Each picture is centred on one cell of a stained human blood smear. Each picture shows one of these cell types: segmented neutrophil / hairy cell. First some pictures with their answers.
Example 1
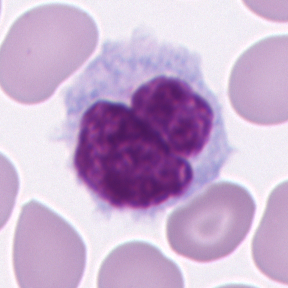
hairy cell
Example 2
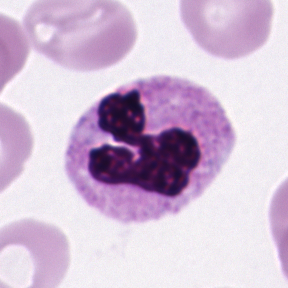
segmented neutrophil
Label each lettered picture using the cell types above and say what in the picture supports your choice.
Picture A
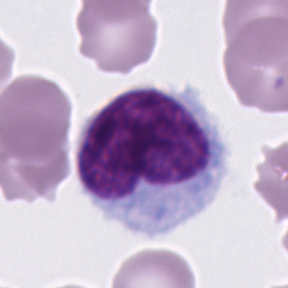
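Answer: hairy cell. The nucleus is indented like a kidney, with the notch on its lower side.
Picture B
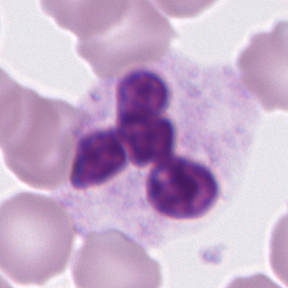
Answer: segmented neutrophil. The cytoplasm is abundant and pale pinkish-lilac.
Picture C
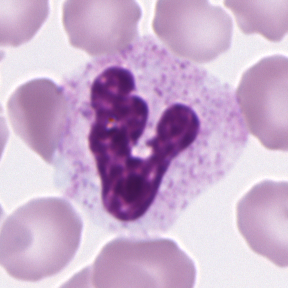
Answer: segmented neutrophil. The nucleus is bent into a V shape whose opening faces upward.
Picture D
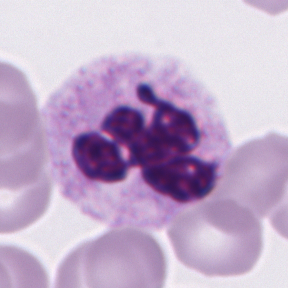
Answer: segmented neutrophil. The nucleus is divided into at least three separate lobes.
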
